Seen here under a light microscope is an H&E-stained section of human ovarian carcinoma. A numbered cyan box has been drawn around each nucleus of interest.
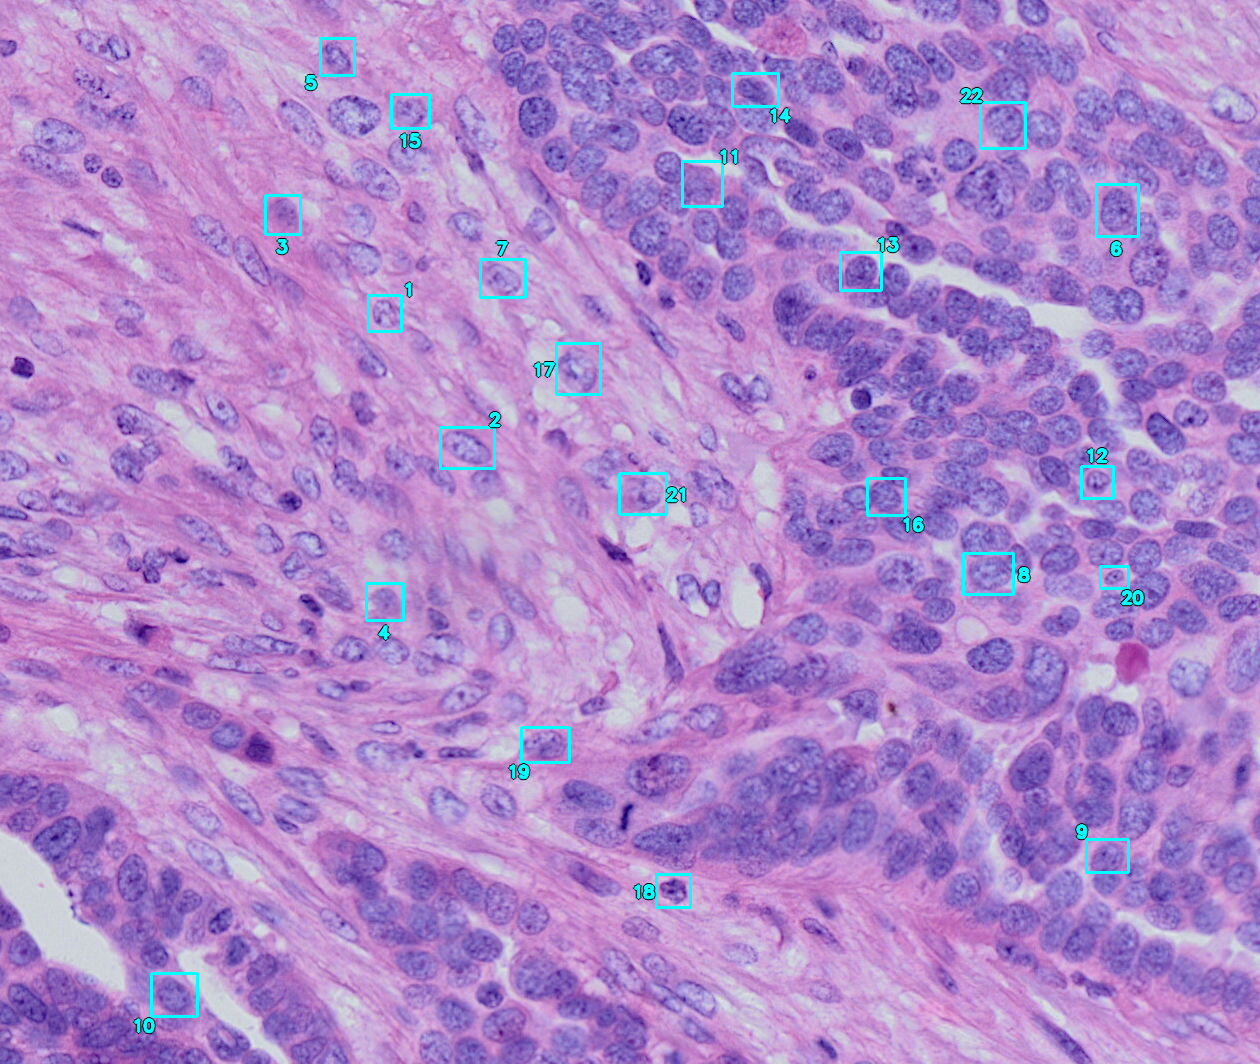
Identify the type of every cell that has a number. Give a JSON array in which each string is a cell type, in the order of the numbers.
["fibroblast", "fibroblast", "fibroblast", "fibroblast", "fibroblast", "carcinoma cell", "fibroblast", "carcinoma cell", "carcinoma cell", "carcinoma cell", "carcinoma cell", "macrophage or monocyte", "carcinoma cell", "carcinoma cell", "fibroblast", "carcinoma cell", "fibroblast", "lymphocyte", "fibroblast", "macrophage or monocyte", "fibroblast", "carcinoma cell"]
